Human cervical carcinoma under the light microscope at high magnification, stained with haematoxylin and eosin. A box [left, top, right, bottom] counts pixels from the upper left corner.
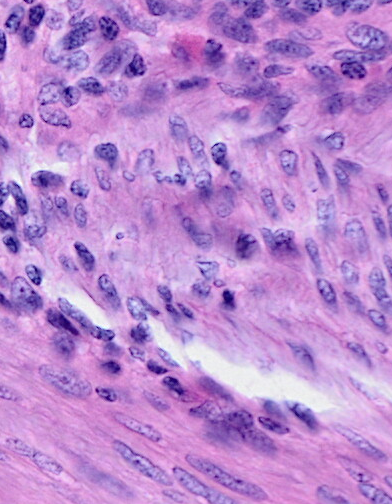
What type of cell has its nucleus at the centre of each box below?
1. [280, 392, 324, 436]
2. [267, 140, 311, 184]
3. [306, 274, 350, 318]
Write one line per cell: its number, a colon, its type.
1: lymphocyte
2: smooth muscle cell
3: smooth muscle cell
